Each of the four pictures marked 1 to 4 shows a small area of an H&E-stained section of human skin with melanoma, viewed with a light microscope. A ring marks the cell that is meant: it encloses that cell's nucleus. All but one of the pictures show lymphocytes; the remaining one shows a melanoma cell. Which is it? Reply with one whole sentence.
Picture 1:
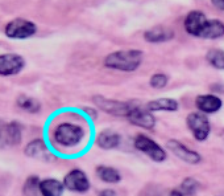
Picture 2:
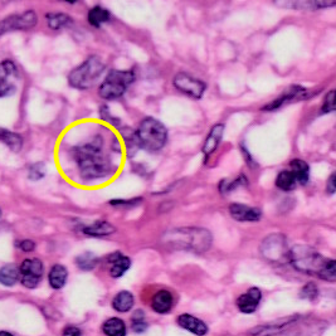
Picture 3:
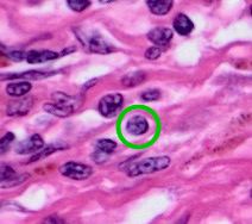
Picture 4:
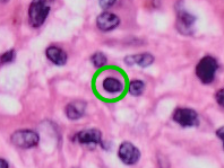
The melanoma cell is the one in picture 2.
